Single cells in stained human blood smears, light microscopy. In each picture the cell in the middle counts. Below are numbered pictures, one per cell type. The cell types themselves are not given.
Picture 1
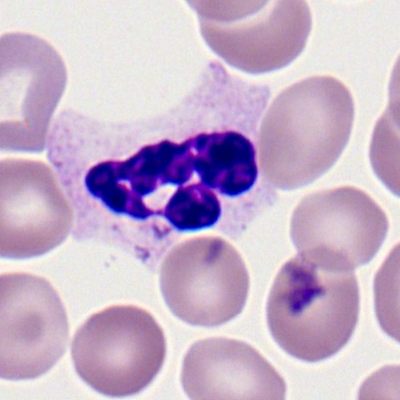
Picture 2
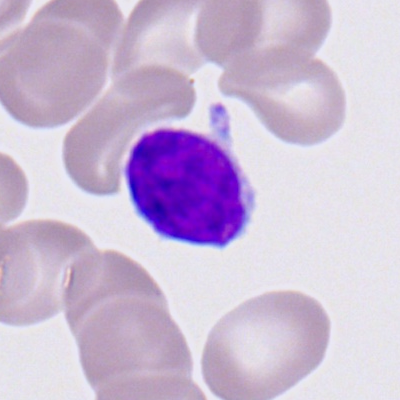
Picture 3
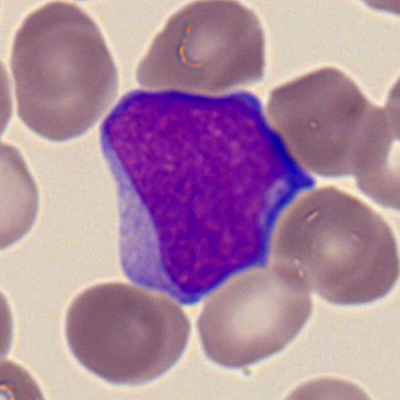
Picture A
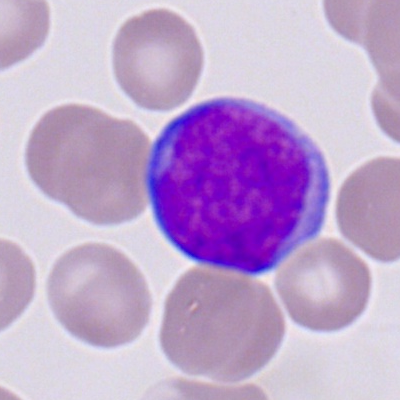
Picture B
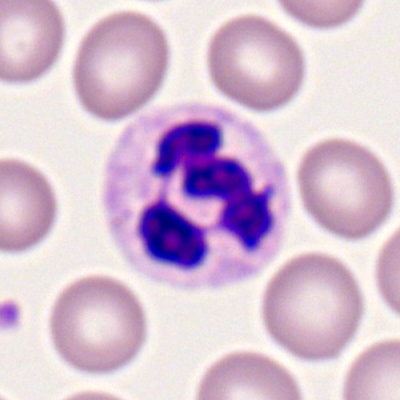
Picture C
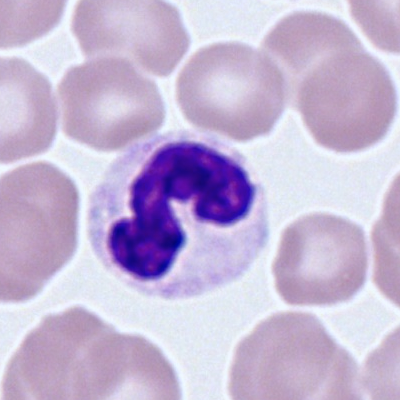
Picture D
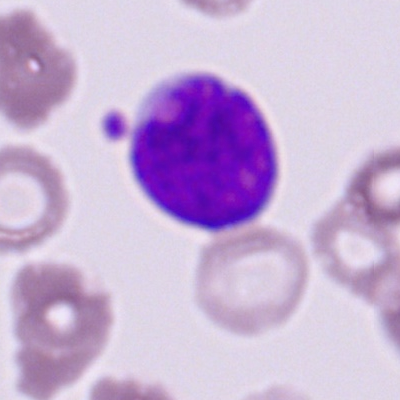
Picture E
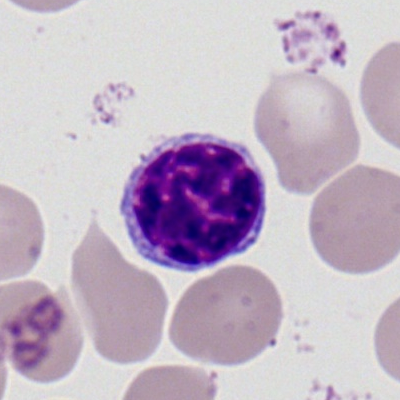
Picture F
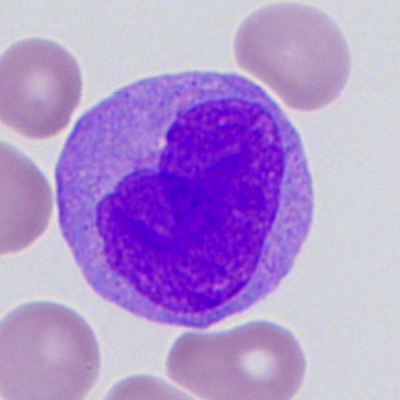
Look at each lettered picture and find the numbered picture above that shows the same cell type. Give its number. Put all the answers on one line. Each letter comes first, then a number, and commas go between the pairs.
A 3, B 1, C 1, D 3, E 2, F 3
